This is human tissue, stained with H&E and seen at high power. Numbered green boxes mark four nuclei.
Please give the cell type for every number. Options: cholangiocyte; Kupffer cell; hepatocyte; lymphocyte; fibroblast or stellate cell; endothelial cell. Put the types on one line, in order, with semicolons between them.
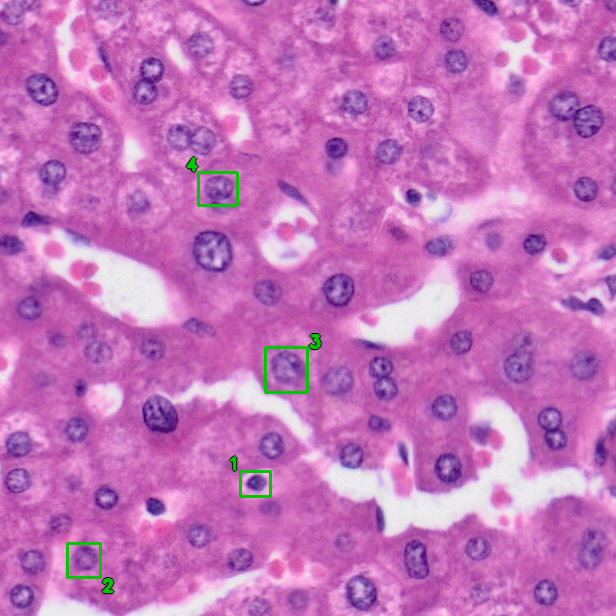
lymphocyte; hepatocyte; hepatocyte; hepatocyte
